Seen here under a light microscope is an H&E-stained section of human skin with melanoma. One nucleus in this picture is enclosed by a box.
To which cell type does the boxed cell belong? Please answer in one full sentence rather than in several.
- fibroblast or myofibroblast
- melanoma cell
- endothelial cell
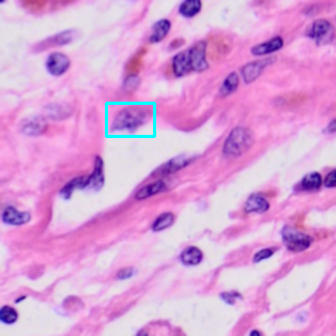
The expected answer is simply that the boxed cell is an endothelial cell.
